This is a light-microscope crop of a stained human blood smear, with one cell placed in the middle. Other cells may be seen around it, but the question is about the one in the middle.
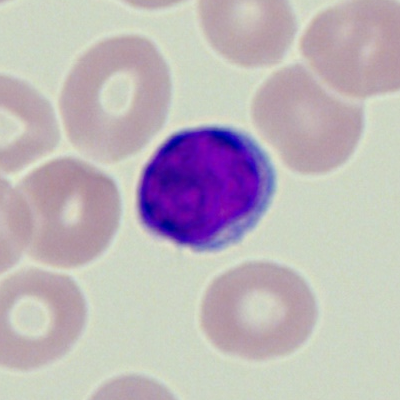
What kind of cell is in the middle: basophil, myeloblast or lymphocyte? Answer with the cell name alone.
lymphocyte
